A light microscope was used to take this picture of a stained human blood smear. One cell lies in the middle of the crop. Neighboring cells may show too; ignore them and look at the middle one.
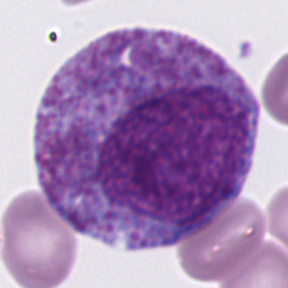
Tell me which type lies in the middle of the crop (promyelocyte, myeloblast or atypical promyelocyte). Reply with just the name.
promyelocyte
